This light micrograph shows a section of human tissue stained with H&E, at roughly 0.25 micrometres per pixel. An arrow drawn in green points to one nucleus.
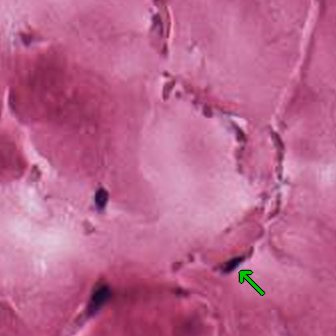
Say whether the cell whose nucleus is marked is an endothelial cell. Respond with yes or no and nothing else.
no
